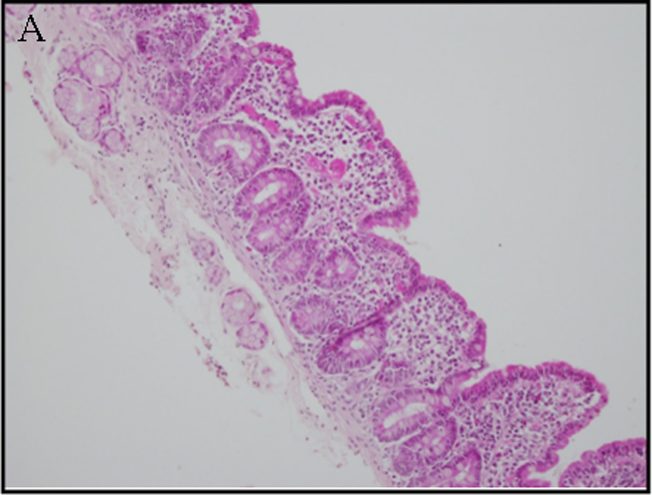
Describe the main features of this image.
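Small bowel mucosa with short, broad, blunted villi lined by a single layer of columnar epithelium. The lamina propria between and above the crypts is crowded with small round dark-nucleated inflammatory cells. Loose, pale submucosal connective tissue runs along the deep edge.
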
